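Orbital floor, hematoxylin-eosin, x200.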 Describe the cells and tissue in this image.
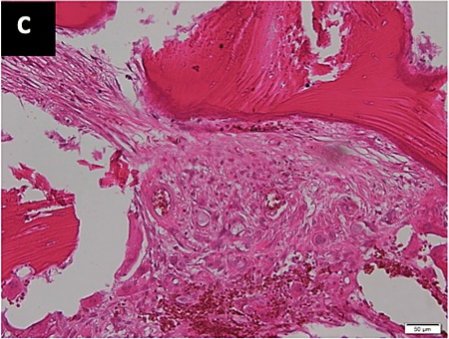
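Bone tissue with focal infiltration by tumor cells. Large, deeply eosinophilic bony plates with a streaked lamellar texture occupy the top and left of the field, enclosing clear spaces. Between them lies a cluster of cells with enlarged, irregular, vesicular nuclei and pale to pink cytoplasm, forming a compact nest. Looser fibrous strands with spindle-shaped nuclei extend from the upper left into the cluster. Below the nest lie many small red blood cells.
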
